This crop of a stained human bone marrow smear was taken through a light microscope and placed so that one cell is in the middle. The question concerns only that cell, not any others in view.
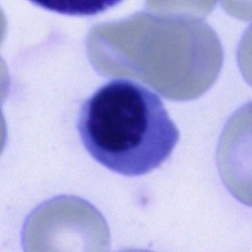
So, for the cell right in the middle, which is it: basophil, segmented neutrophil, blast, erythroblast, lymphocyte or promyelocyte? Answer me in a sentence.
The middle of this crop holds an erythroblast.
